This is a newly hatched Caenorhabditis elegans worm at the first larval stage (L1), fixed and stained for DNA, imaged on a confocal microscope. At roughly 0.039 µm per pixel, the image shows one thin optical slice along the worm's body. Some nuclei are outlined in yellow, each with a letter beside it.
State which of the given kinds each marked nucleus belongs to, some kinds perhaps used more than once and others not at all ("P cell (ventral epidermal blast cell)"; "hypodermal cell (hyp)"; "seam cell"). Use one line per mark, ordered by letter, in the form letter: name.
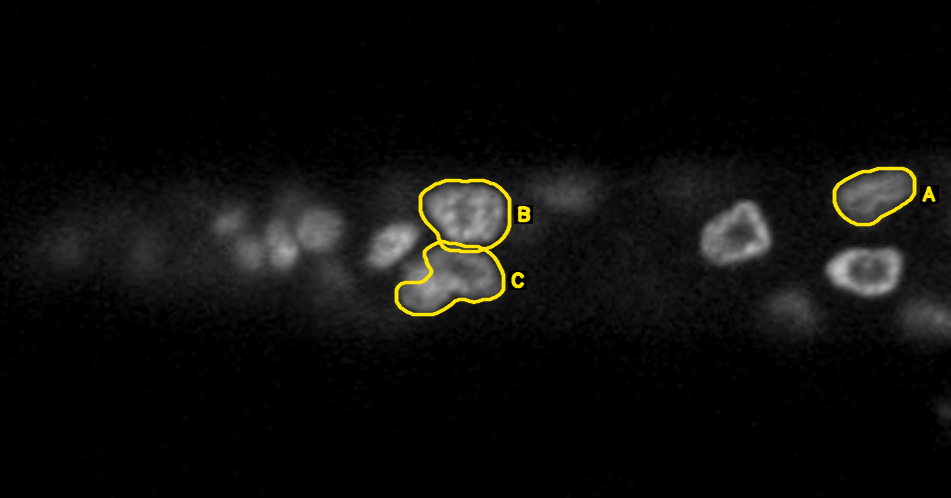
A: P cell (ventral epidermal blast cell)
B: P cell (ventral epidermal blast cell)
C: hypodermal cell (hyp)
